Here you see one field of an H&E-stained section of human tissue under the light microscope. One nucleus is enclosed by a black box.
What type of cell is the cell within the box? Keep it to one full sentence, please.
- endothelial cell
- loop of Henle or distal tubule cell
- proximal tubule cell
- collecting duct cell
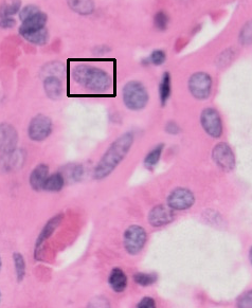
To be brief about it, the cell within the box is a collecting duct cell.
